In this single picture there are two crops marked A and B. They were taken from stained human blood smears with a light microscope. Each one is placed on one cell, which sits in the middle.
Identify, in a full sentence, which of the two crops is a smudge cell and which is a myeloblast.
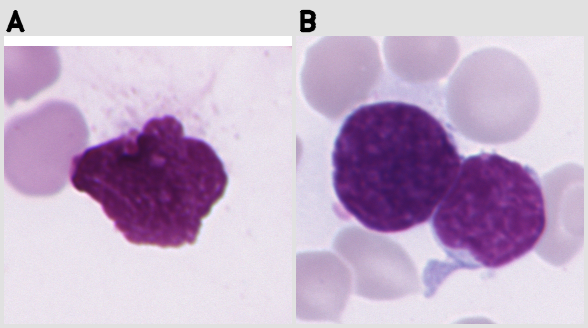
As for the pair, crop A is a smudge cell and crop B is a myeloblast.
